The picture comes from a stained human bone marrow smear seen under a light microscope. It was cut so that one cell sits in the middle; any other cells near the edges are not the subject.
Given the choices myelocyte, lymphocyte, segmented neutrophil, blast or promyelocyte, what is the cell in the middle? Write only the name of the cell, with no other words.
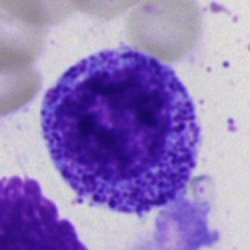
myelocyte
